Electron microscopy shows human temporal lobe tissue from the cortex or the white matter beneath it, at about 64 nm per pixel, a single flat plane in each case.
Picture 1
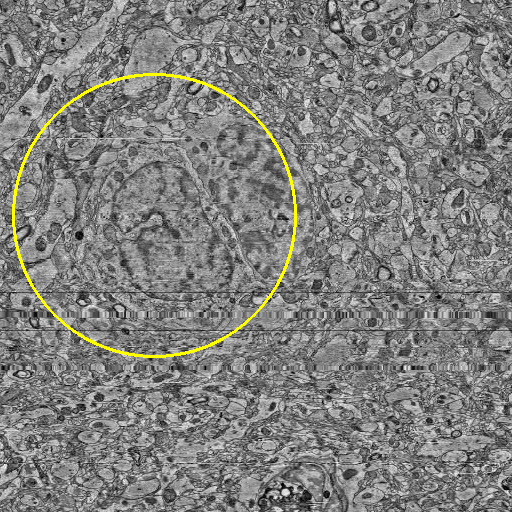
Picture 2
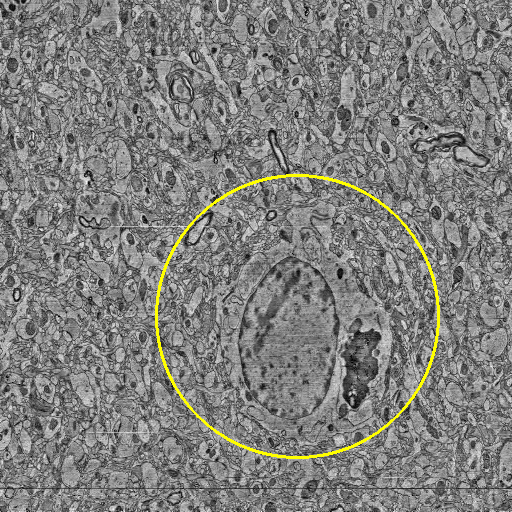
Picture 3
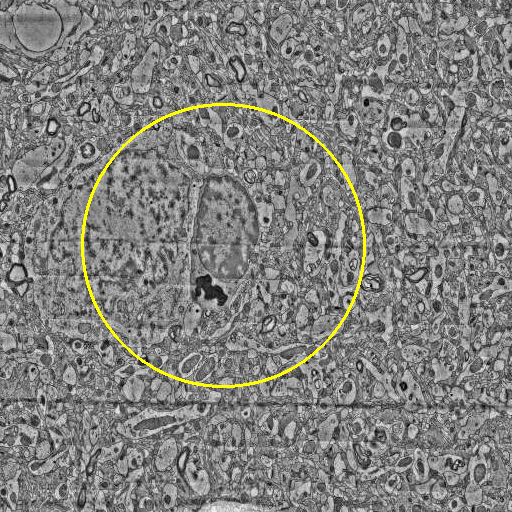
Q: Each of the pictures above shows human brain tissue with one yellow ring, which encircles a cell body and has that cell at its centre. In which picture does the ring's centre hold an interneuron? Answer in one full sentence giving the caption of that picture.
Picture 1 is the one whose ring is centred on the cell in question.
